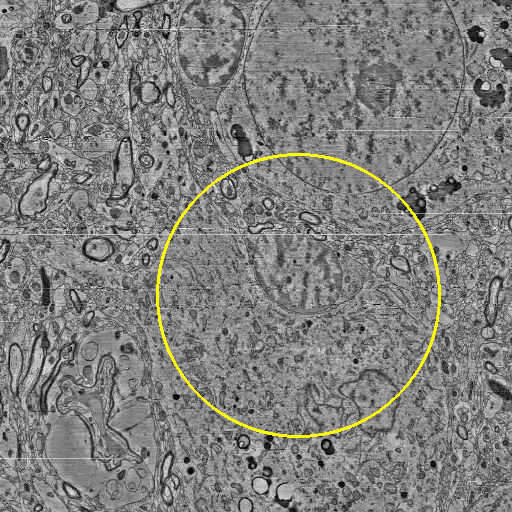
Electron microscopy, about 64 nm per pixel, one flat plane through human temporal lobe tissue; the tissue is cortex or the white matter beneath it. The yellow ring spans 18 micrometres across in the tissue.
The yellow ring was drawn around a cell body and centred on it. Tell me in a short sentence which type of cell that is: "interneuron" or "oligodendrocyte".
The cell at the ring's centre is an oligodendrocyte.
